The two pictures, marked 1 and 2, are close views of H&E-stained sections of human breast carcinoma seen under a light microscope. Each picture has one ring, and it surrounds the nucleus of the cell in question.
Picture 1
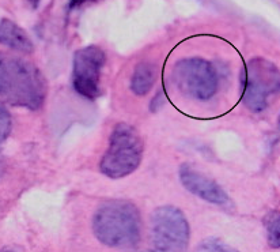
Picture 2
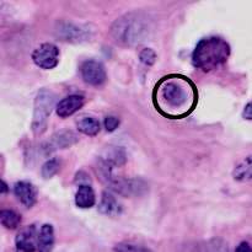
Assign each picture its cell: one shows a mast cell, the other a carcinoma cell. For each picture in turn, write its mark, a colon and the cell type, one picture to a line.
1: carcinoma cell
2: mast cell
